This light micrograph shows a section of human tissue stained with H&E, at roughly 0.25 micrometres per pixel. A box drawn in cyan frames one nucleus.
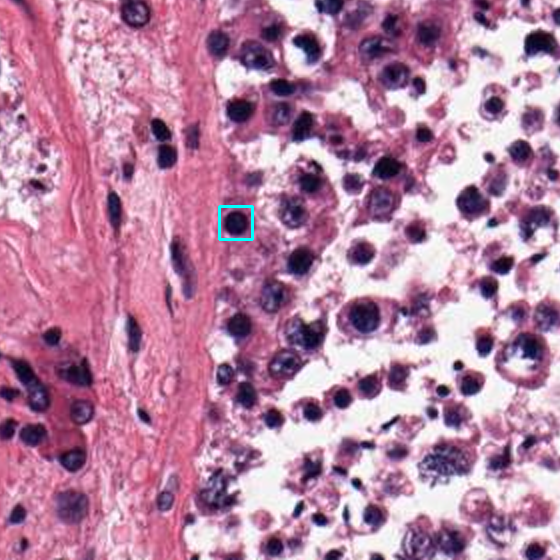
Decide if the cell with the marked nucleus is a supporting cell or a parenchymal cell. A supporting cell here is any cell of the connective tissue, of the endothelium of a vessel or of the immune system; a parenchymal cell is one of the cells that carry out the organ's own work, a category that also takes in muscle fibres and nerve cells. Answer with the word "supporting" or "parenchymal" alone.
parenchymal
